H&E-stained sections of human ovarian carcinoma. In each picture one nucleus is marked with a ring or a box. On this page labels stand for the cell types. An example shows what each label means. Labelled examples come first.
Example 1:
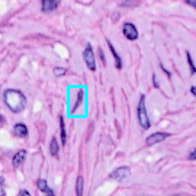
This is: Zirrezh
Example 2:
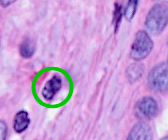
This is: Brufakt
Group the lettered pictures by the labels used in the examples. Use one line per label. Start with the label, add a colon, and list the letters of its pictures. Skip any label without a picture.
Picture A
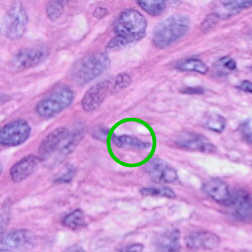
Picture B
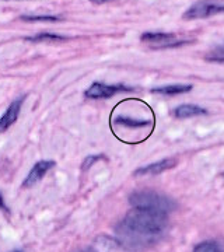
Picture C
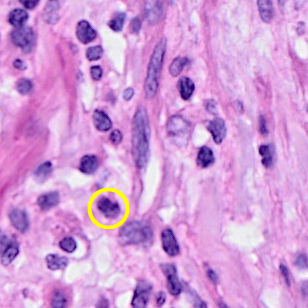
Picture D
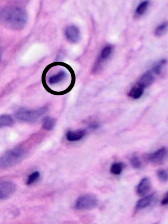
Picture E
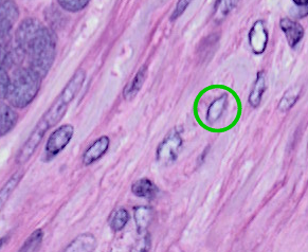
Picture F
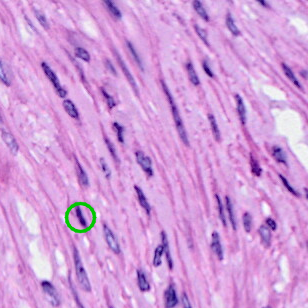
Zirrezh: A, B, E, F
Brufakt: C, D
